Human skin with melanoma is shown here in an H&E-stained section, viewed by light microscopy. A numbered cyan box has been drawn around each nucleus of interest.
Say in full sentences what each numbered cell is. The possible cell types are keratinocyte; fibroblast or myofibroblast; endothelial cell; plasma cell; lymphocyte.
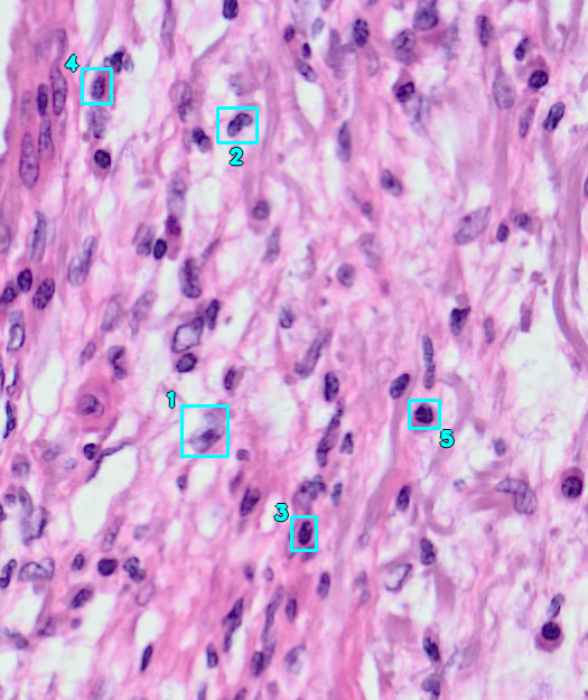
Cell 1 is a fibroblast or myofibroblast, cell 2 is a lymphocyte, cell 3 is a plasma cell, cell 4 is a plasma cell and cell 5 is a plasma cell.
